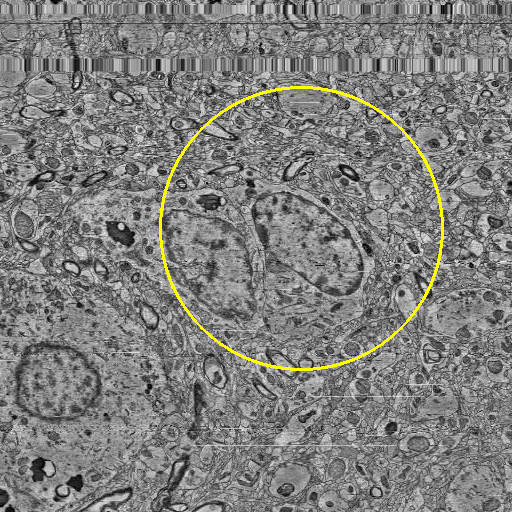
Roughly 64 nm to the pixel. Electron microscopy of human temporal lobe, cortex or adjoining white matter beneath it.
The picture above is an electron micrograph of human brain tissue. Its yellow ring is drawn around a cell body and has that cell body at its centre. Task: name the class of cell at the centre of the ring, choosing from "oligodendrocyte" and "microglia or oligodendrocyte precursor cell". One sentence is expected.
The ring surrounds the body of a microglial cell or oligodendrocyte precursor cell.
